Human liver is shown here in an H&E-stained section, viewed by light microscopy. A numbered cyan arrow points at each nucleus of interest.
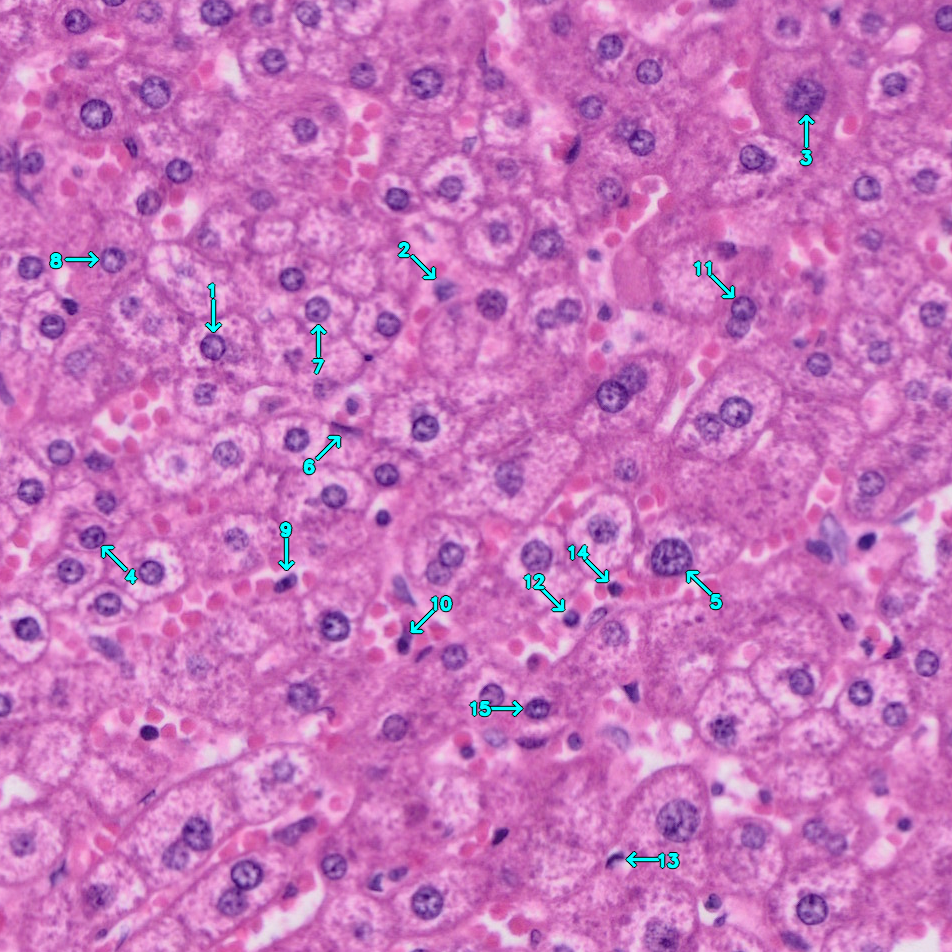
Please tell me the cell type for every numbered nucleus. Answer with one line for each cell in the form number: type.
1: hepatocyte
2: endothelial cell
3: hepatocyte
4: hepatocyte
5: hepatocyte
6: endothelial cell
7: hepatocyte
8: hepatocyte
9: lymphocyte
10: lymphocyte
11: hepatocyte
12: lymphocyte
13: endothelial cell
14: lymphocyte
15: hepatocyte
